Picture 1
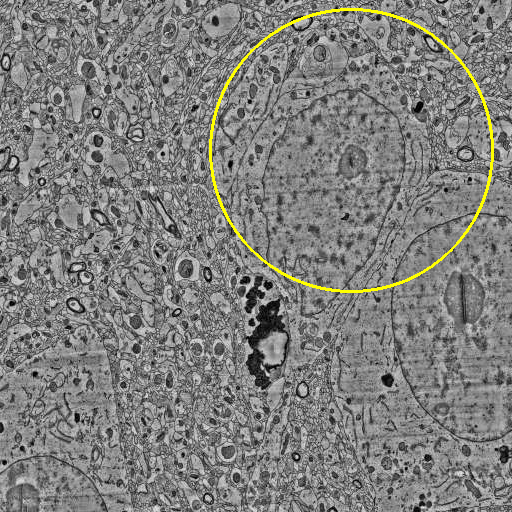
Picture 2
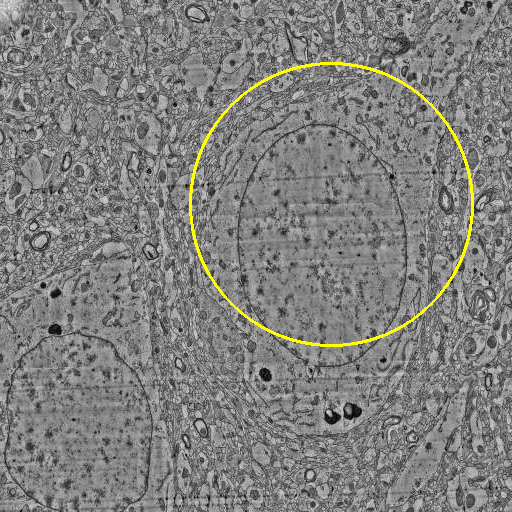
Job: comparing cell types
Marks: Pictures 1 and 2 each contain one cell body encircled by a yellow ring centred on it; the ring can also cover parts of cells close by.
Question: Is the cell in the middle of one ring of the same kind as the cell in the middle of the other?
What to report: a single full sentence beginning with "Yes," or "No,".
No, the cell at the ring centre in Picture 1 and its partner in Picture 2 are of two kinds.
